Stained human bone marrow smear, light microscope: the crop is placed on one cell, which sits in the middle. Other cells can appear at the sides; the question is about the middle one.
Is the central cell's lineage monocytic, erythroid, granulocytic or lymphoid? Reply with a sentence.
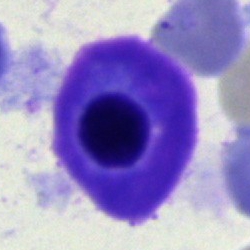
The cell in the middle is to be grouped with the lymphoid lineage.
